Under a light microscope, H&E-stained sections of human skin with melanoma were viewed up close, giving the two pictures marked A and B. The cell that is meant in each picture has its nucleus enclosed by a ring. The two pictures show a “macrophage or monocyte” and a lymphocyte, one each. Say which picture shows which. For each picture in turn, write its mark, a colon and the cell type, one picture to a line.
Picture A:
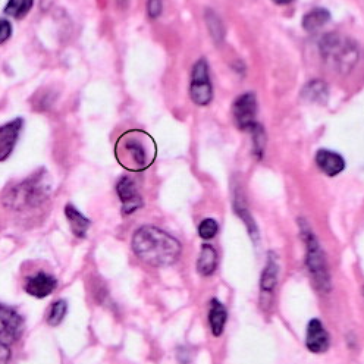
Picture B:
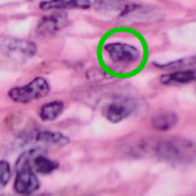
A: macrophage or monocyte
B: lymphocyte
